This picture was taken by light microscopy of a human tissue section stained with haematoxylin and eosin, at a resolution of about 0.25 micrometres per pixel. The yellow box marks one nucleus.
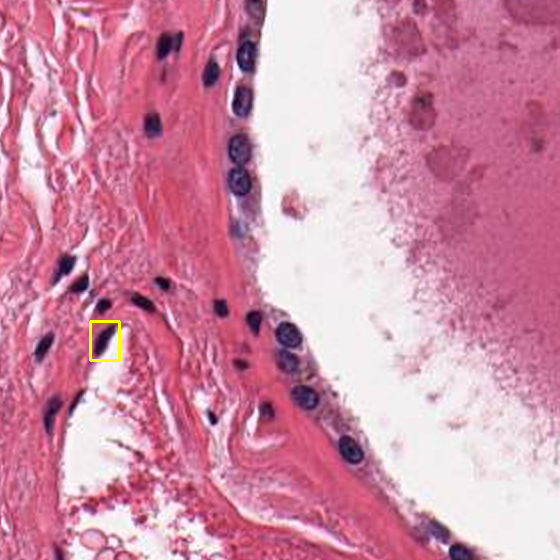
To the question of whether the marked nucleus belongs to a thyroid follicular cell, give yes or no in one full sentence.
No, the marked nucleus, rather than belonging to a thyroid follicular cell, belongs to a supporting cell.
